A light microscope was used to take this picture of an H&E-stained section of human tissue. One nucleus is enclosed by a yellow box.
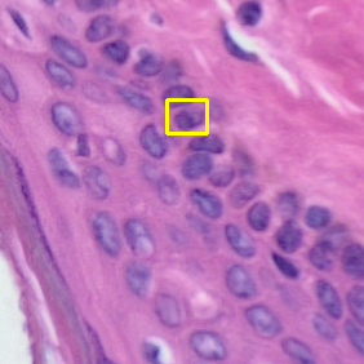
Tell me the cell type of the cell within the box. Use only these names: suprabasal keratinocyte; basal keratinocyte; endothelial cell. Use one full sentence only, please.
Cytologically, the cell within the box is to be regarded as a basal keratinocyte.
